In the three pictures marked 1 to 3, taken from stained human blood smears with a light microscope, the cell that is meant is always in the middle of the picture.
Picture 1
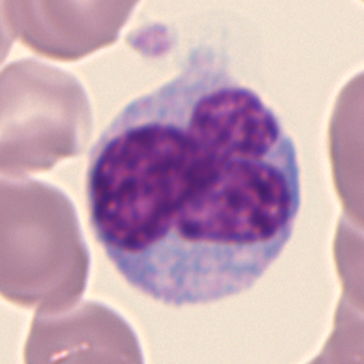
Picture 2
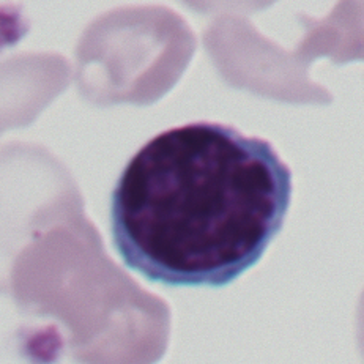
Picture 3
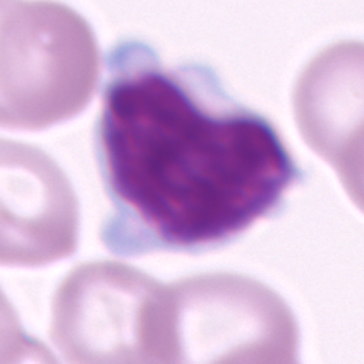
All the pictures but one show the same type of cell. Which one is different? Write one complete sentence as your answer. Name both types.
Unlike the rest, which show typical lymphocytes, picture 1 shows a monocyte.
